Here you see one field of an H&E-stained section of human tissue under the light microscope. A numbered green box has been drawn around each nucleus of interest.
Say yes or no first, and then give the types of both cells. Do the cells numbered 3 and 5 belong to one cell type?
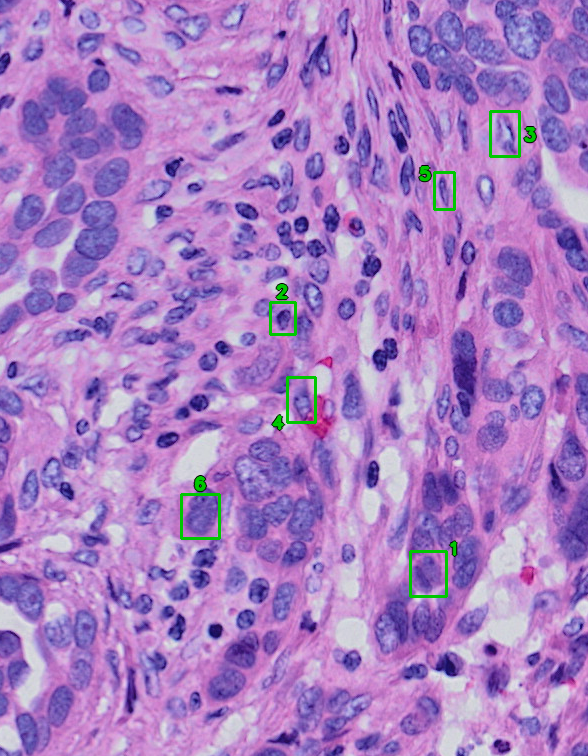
Yes, both of the numbered cells concerned, 3 and 5, are fibroblasts.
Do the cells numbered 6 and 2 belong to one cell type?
No, cell 2 is a lymphocyte, and cell 6 is a carcinoma cell.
